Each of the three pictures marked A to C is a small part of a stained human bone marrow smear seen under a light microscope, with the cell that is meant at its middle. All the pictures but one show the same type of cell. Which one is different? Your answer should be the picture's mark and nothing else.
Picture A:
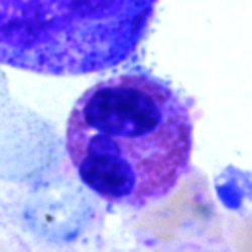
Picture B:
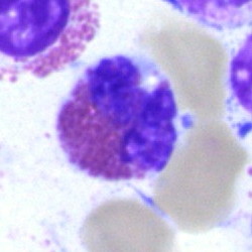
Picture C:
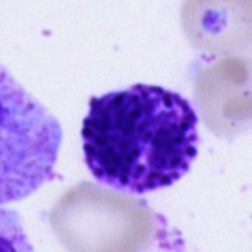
C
